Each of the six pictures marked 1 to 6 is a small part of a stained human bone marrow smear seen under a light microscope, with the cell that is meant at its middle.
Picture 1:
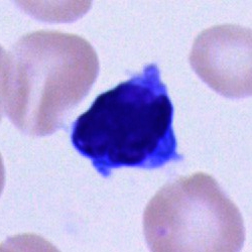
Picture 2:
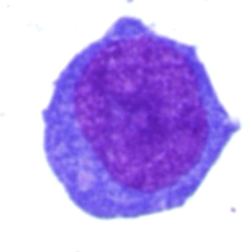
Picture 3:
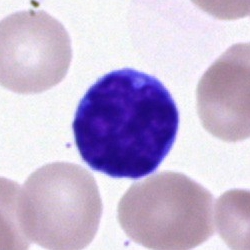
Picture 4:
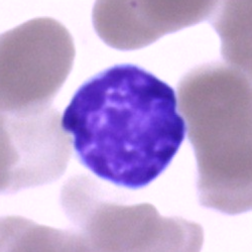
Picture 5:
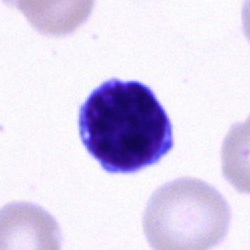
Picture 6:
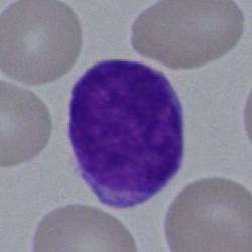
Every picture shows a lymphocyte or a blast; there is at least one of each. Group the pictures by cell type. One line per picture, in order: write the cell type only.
lymphocyte
blast
lymphocyte
lymphocyte
lymphocyte
blast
